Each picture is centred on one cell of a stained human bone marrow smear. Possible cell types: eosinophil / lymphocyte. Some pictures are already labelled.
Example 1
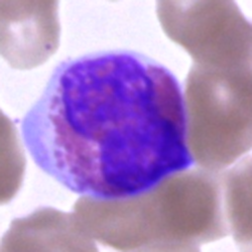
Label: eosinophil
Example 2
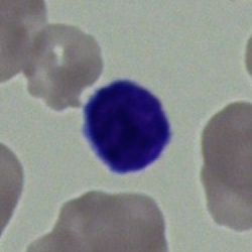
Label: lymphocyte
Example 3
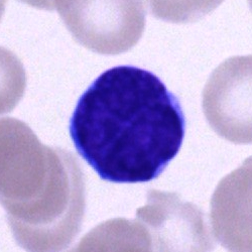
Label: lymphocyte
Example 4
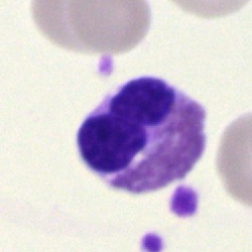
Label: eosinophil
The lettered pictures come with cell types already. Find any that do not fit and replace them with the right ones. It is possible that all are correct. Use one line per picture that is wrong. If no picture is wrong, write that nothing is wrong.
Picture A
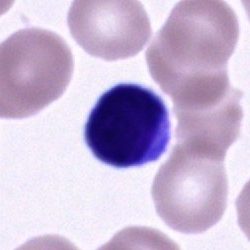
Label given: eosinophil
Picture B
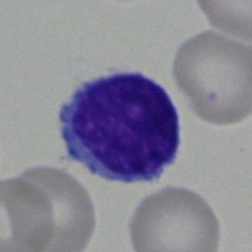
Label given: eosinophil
A is labelled eosinophil; correct label: lymphocyte
B is labelled eosinophil; correct label: lymphocyte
